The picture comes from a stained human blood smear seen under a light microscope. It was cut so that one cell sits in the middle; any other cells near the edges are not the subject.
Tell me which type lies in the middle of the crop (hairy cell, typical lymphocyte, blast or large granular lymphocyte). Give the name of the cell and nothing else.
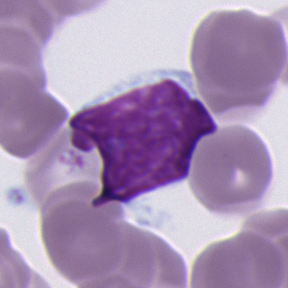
typical lymphocyte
